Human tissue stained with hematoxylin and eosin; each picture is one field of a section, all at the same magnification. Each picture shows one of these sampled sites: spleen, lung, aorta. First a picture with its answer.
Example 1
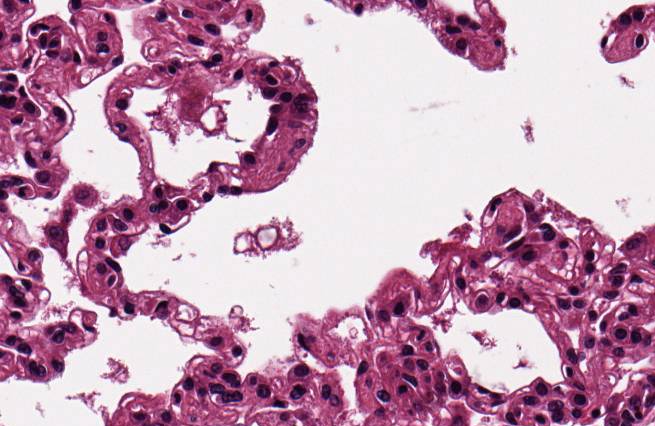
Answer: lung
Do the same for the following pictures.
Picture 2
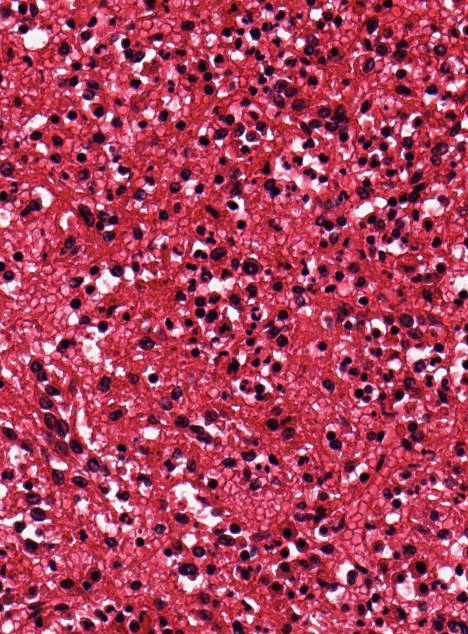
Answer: spleen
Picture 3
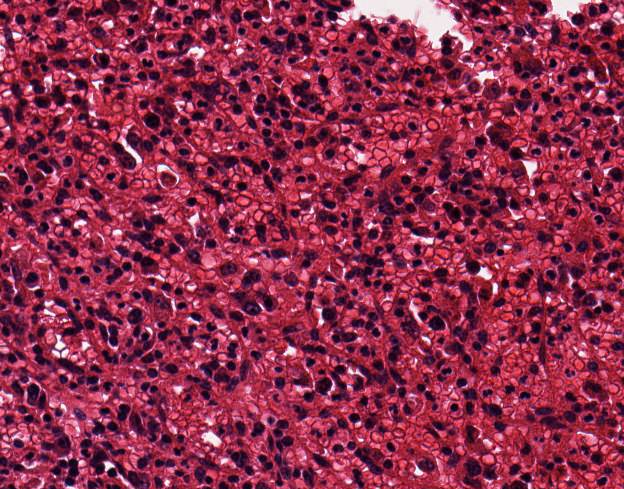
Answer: spleen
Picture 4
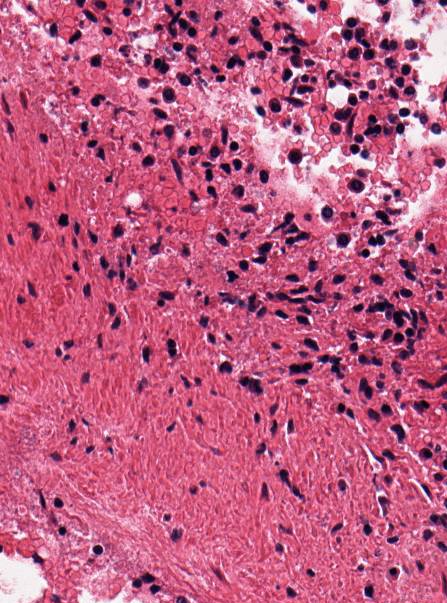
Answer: spleen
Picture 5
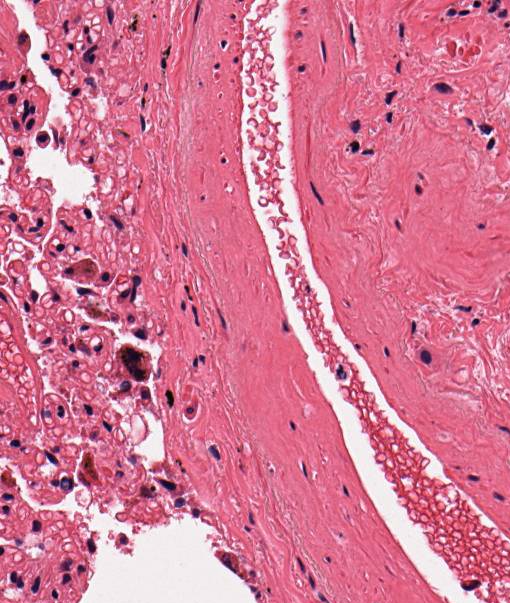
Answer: lung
